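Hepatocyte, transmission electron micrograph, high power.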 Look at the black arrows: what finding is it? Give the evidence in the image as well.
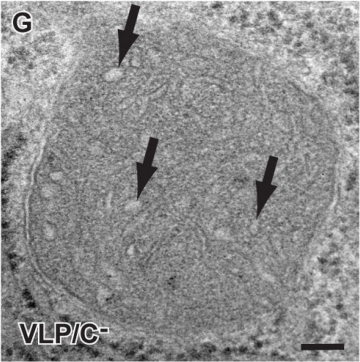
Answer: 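Dilated cristae. A single large mitochondrion fills the field. The arrows point to small pale swollen spaces among its inner membranes.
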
